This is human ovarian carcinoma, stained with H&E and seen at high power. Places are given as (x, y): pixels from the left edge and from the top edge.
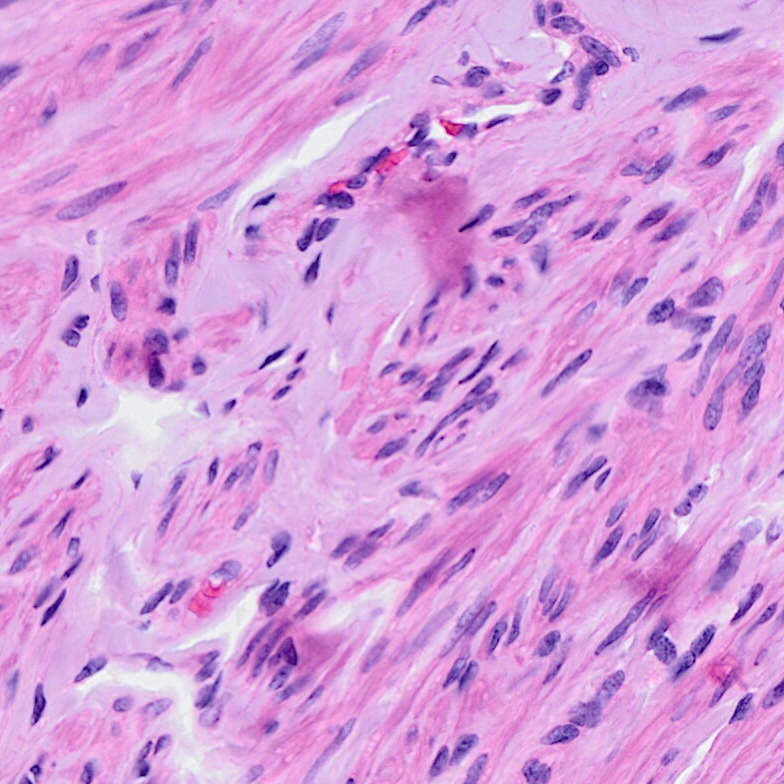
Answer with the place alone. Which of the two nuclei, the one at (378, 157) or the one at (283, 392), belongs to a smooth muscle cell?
(283, 392)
